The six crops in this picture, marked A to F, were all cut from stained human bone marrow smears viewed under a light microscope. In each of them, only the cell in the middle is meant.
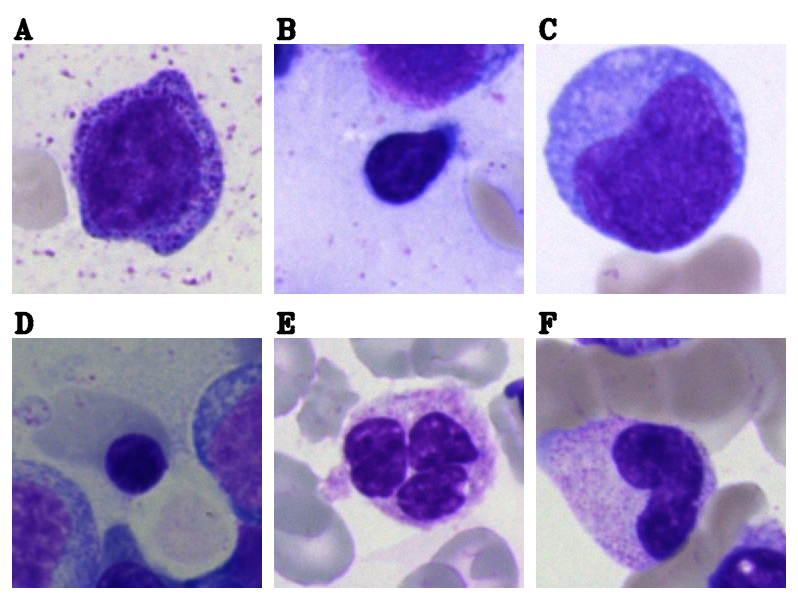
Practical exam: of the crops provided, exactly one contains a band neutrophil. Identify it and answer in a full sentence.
In the set of crops, crop F is the one that contains a band neutrophil.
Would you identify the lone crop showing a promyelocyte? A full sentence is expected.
When the crops are compared, crop A is the one showing a promyelocyte.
